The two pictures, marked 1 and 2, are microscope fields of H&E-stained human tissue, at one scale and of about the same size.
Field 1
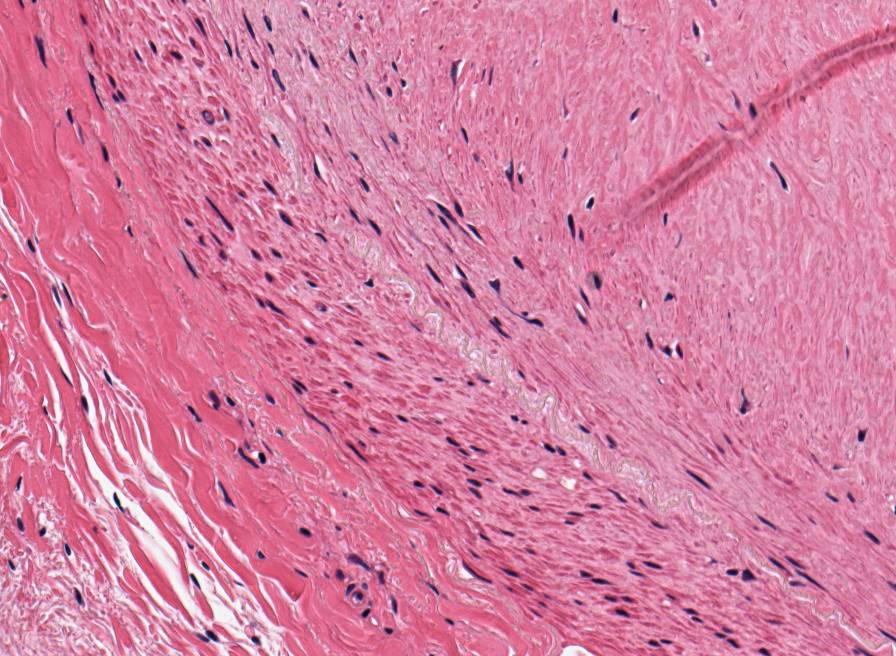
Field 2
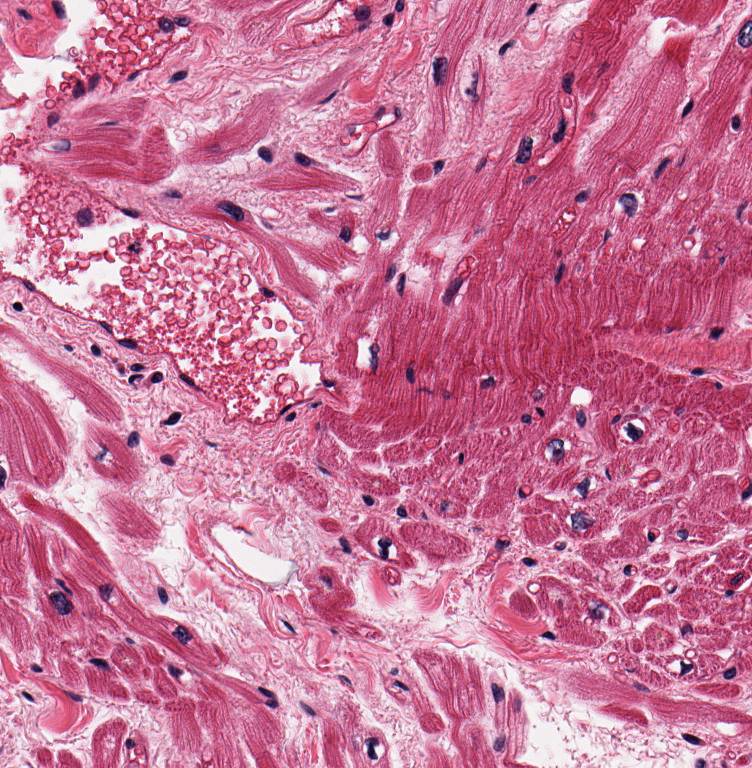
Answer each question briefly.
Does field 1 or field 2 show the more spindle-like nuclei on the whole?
1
